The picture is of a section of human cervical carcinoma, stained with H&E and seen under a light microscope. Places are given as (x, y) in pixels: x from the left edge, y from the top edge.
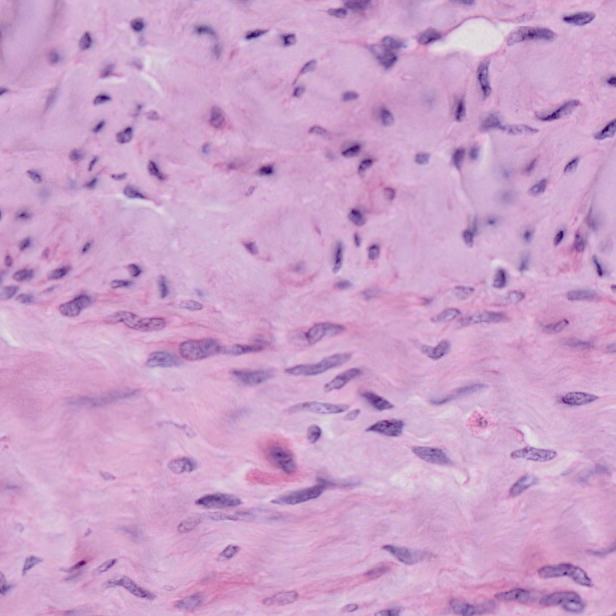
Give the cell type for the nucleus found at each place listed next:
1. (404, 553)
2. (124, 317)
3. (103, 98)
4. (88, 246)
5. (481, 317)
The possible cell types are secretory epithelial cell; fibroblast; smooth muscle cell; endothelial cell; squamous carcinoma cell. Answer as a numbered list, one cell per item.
1. fibroblast
2. smooth muscle cell
3. fibroblast
4. smooth muscle cell
5. smooth muscle cell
